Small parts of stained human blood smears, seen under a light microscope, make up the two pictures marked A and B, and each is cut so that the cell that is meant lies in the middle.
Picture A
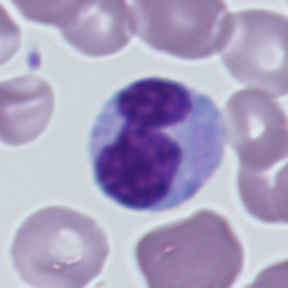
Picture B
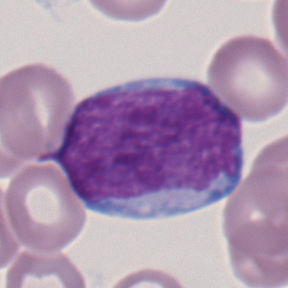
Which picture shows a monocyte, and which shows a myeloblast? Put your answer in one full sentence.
The cell in picture A is a monocyte, and the one in picture B is a myeloblast.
